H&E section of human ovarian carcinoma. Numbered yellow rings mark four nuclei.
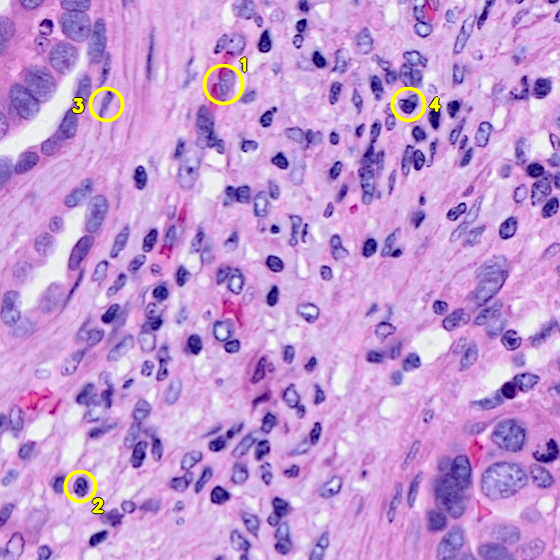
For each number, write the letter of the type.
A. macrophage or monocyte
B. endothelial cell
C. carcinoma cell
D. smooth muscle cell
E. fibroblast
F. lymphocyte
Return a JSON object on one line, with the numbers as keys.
{"1": "B", "2": "F", "3": "E", "4": "F"}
